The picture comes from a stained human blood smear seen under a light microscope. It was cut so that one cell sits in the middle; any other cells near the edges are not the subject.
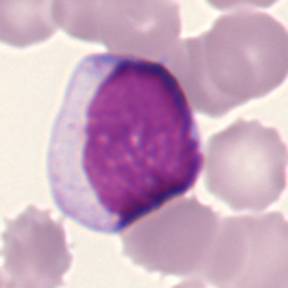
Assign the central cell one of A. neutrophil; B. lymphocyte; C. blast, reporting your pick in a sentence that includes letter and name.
That the central cell is a lymphocyte makes option B correct.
